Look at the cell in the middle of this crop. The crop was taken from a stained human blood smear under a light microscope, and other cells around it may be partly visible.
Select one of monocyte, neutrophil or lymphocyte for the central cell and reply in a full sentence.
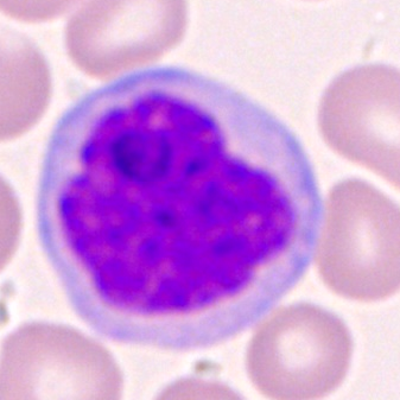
Seen at the centre of the crop is a monocyte.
